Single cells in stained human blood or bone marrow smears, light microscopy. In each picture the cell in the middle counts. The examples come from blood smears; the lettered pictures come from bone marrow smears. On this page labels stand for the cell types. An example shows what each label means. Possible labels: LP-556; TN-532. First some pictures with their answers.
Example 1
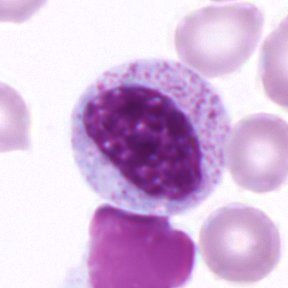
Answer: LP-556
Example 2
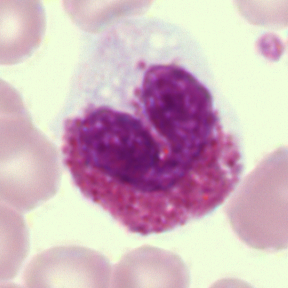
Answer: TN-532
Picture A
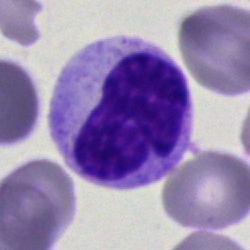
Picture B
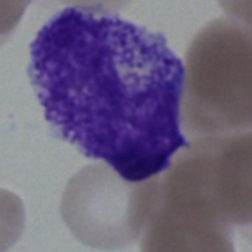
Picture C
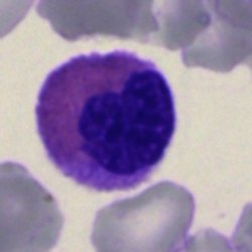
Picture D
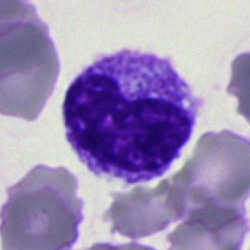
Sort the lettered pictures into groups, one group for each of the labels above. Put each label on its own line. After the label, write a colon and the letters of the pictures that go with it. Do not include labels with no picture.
LP-556: A, B, D
TN-532: C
